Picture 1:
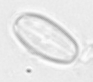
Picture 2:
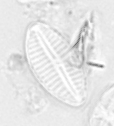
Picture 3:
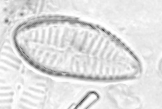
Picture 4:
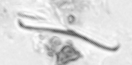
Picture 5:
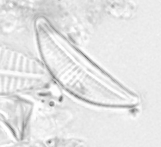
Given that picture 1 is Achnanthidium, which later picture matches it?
4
